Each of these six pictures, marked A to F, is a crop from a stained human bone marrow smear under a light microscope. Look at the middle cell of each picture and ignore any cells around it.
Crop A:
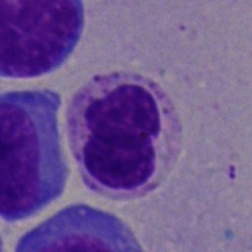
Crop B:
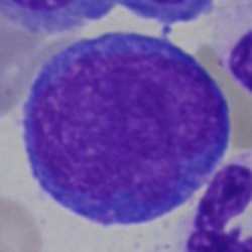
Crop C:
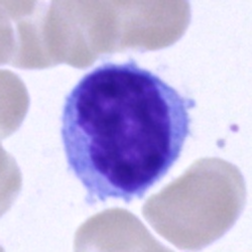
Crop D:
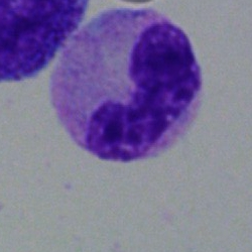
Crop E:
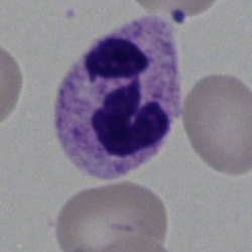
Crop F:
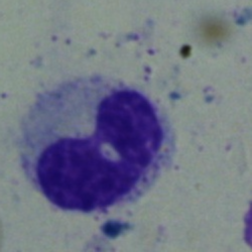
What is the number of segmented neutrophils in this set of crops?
2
